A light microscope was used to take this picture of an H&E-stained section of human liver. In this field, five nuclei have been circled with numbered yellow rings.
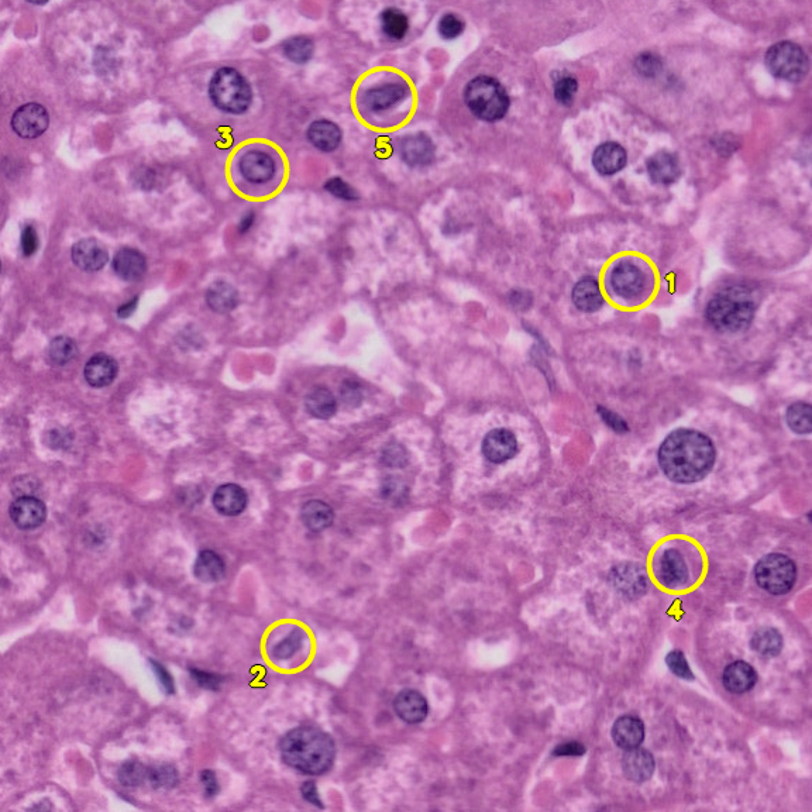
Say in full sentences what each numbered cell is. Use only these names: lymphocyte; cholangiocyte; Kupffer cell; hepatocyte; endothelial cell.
Cells 1 and 3 are hepatocytes. Cells 2 and 5 are Kupffer cells. Cell 4 is an endothelial cell.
